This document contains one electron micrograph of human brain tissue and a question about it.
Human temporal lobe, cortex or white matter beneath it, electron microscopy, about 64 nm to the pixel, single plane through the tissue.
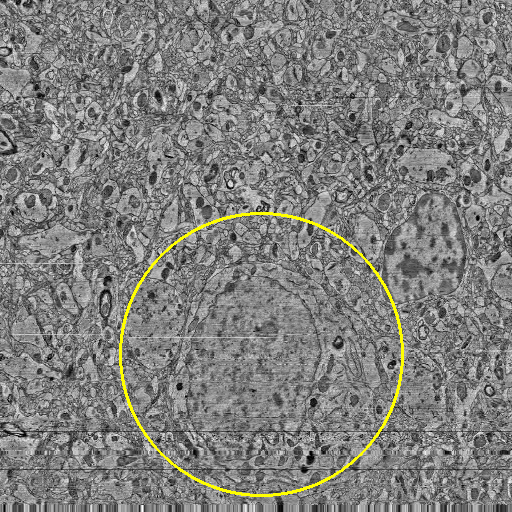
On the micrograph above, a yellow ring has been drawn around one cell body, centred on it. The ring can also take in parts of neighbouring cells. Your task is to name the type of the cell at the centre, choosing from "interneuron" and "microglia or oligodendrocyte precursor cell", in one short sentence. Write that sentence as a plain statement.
Here the ring is centred on an interneuron.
